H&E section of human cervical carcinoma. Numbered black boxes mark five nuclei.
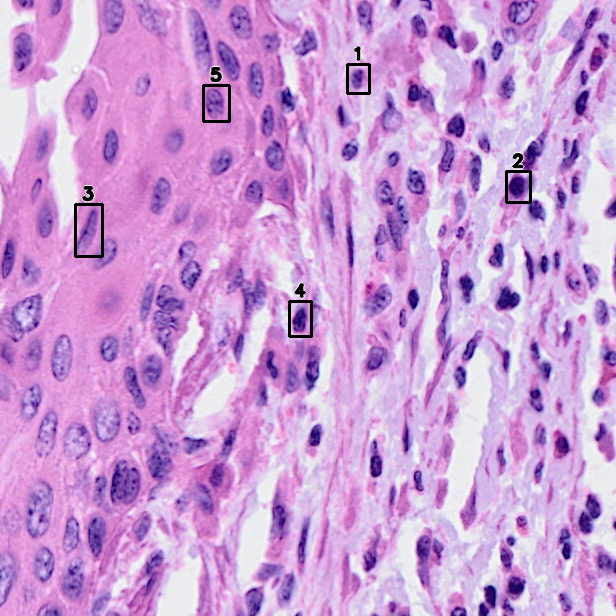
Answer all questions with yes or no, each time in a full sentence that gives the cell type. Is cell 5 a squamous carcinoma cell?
Yes, the cell marked by the number 5 is a squamous carcinoma cell.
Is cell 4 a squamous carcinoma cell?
No, cell 4, which is a lymphocyte, is not a squamous carcinoma cell.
